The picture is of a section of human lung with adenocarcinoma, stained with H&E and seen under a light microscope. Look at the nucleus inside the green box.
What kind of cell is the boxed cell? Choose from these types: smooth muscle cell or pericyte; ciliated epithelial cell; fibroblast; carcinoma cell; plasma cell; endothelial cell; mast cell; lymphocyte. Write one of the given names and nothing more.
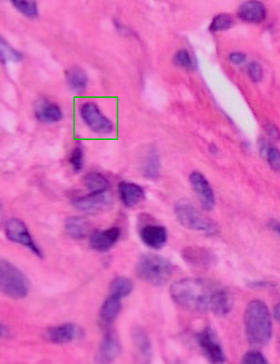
mast cell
